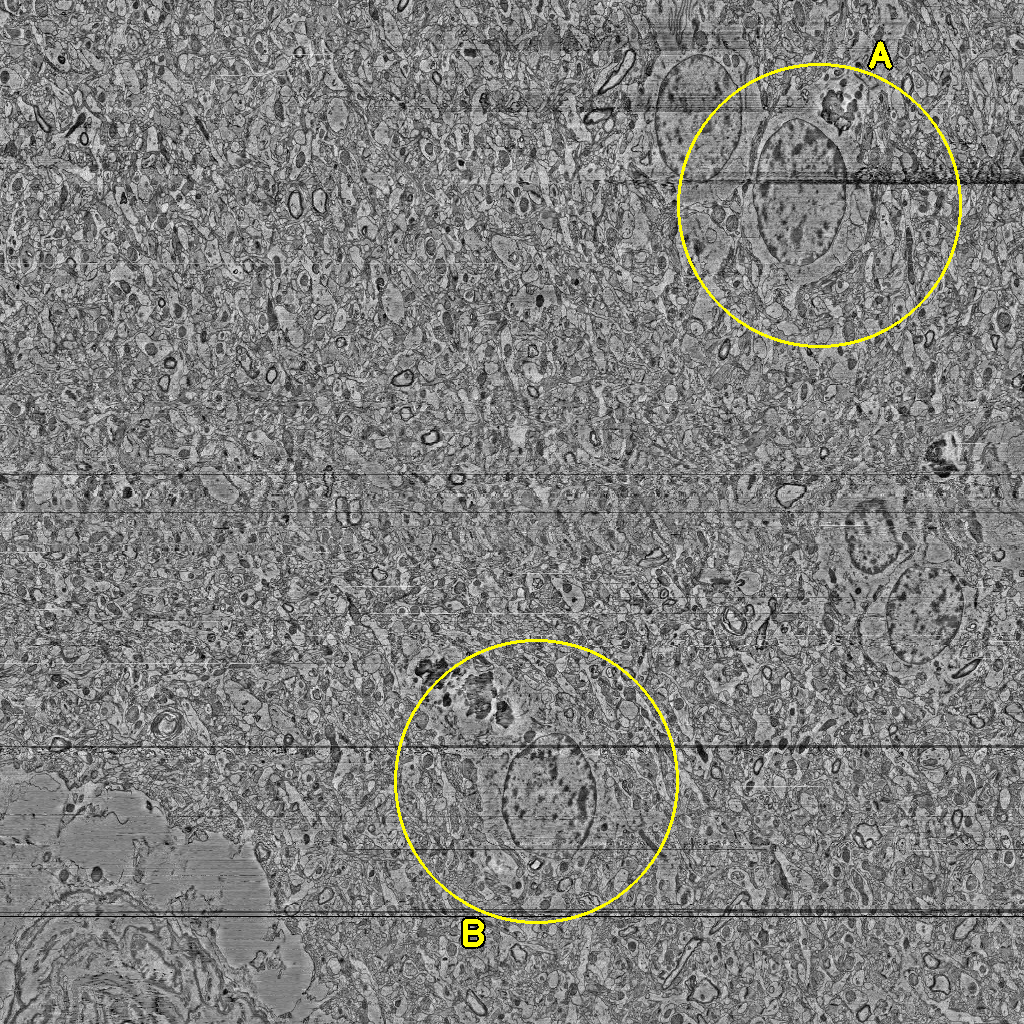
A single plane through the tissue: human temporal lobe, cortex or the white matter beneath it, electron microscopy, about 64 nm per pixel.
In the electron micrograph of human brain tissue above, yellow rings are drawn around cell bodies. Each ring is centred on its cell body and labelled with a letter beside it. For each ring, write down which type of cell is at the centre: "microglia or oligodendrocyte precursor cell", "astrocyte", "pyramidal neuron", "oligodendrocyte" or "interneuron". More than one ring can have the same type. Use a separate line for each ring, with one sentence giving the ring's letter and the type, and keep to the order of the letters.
At the centre of ring A there is an astrocyte.
At the centre of ring B there is an astrocyte.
